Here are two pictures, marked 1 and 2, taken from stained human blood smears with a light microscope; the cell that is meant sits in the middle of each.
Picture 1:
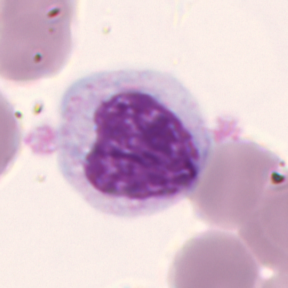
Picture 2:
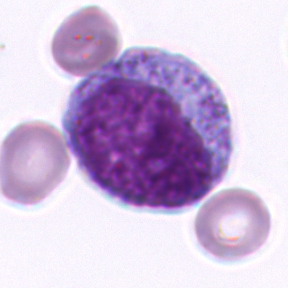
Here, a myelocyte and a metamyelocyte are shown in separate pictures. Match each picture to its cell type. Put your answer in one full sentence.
The cell in picture 1 is a metamyelocyte, and the one in picture 2 is a myelocyte.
